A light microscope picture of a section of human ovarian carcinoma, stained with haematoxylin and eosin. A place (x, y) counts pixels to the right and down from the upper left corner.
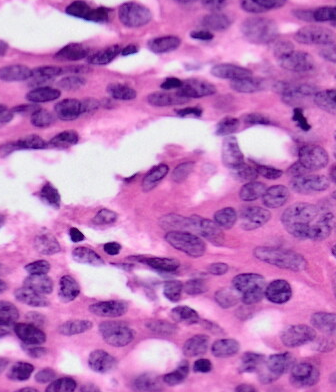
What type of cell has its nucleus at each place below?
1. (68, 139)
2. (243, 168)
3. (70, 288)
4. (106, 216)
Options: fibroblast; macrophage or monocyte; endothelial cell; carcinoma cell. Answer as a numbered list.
1. macrophage or monocyte
2. carcinoma cell
3. macrophage or monocyte
4. macrophage or monocyte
